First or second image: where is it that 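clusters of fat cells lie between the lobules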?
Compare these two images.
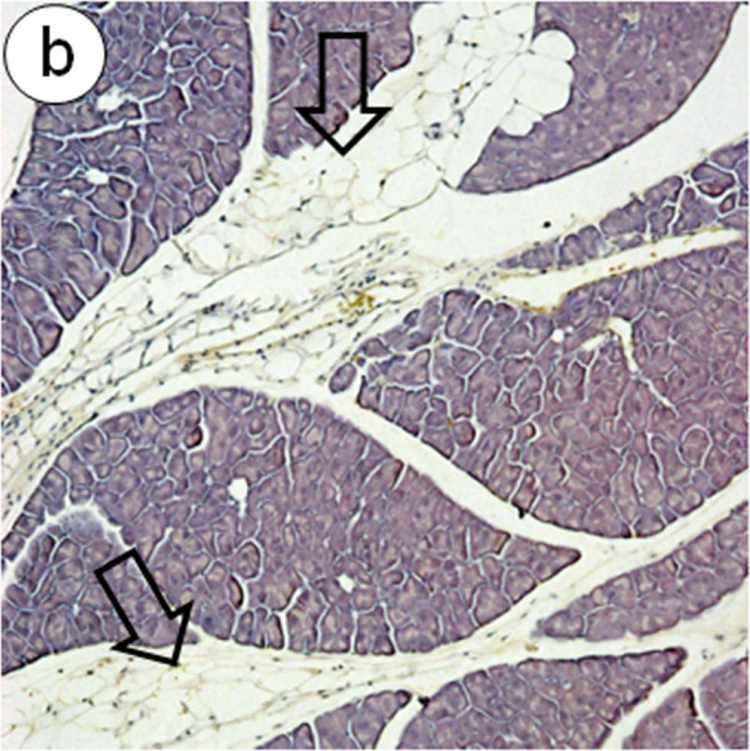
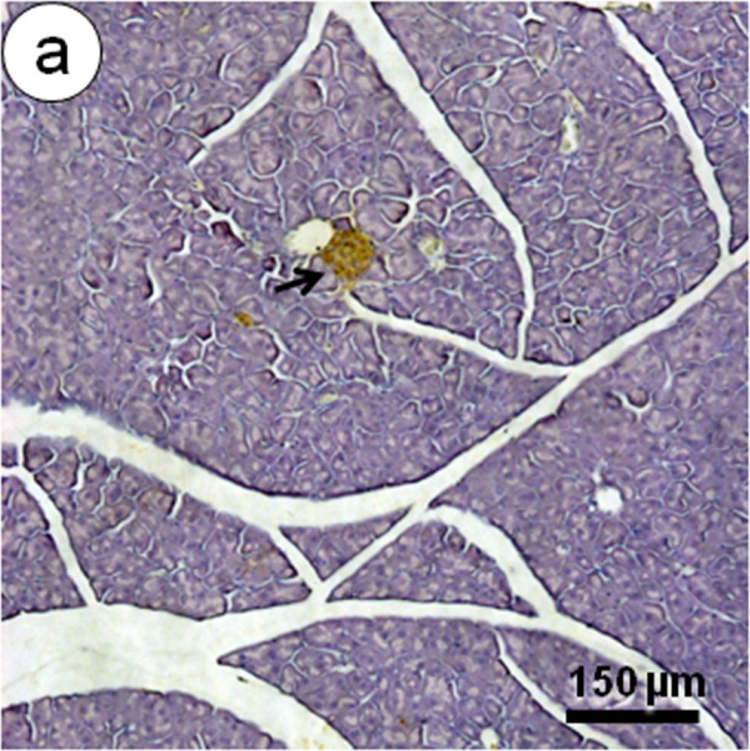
The first image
